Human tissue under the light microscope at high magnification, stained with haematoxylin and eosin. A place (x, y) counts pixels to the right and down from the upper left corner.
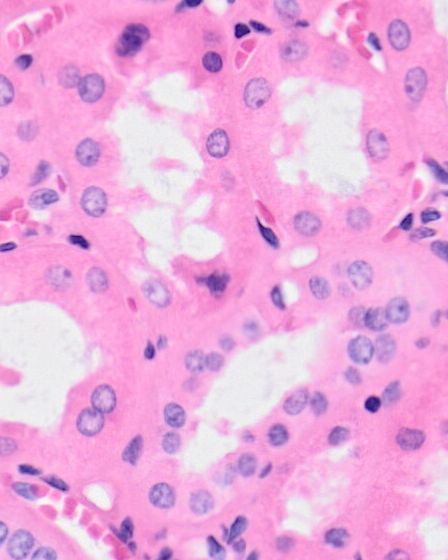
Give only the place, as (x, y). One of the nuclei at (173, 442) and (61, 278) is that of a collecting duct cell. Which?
(173, 442)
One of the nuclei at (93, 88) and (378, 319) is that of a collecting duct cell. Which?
(378, 319)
